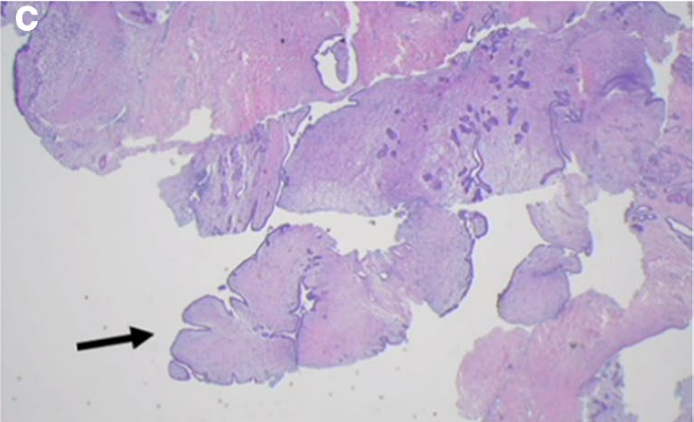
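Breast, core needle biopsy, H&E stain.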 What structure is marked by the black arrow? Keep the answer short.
Leaf-like structures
